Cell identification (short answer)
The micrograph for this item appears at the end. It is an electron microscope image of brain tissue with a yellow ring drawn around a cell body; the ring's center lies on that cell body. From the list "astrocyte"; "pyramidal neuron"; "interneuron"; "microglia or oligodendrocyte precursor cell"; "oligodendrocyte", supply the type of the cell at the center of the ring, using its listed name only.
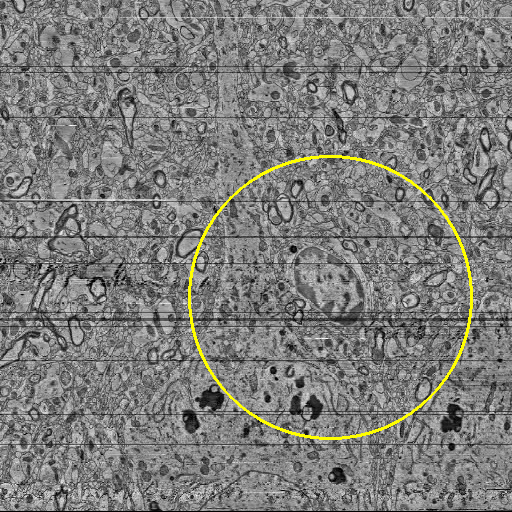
microglia or oligodendrocyte precursor cell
